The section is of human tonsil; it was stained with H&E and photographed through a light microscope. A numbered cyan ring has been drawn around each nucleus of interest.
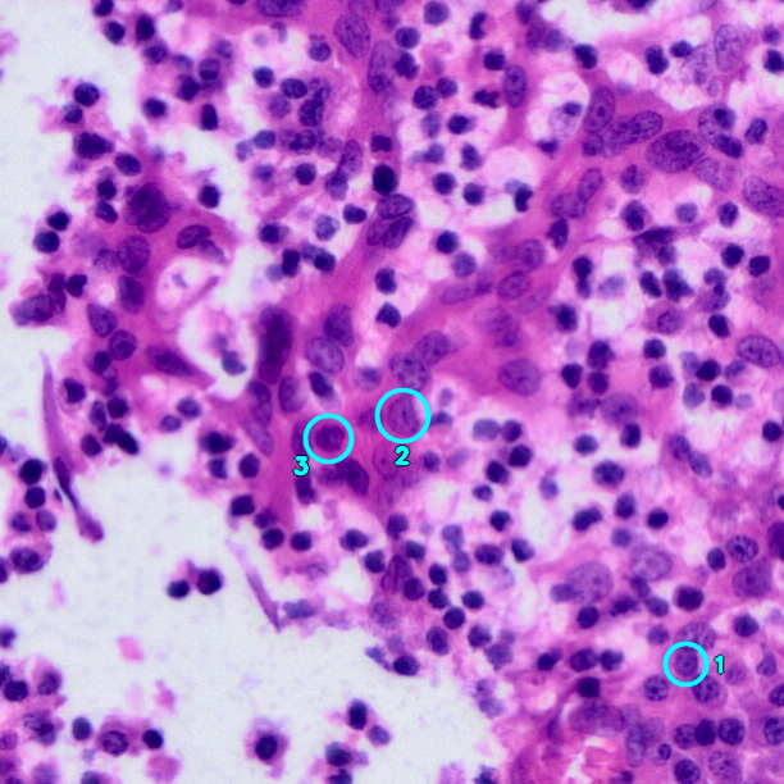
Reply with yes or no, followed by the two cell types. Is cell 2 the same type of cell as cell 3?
Yes, cell 2 is one of the squamous epithelial cells, and so is cell 3.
